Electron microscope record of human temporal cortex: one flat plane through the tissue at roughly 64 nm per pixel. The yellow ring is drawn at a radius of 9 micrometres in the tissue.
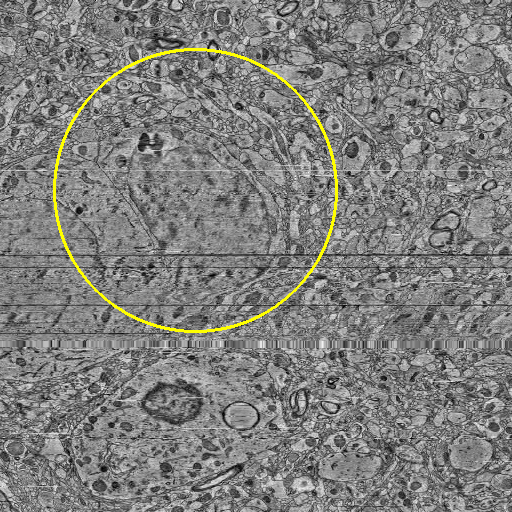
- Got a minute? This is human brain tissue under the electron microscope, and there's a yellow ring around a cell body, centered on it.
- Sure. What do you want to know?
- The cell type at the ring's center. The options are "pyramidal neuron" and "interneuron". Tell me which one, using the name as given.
interneuron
